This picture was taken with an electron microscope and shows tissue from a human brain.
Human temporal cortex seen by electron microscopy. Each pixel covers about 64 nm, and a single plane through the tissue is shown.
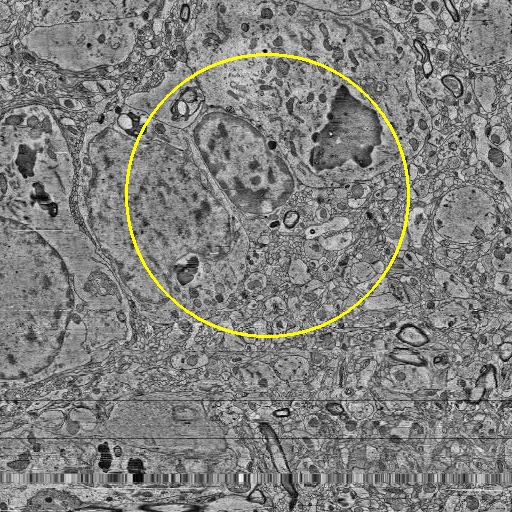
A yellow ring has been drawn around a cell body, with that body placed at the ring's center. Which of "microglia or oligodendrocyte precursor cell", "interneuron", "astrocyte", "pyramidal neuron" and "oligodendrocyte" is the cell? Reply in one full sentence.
In this picture, a microglial cell or oligodendrocyte precursor cell is the cell at the center of the yellow ring.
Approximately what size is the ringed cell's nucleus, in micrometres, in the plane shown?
Roughly 8 by 4 micrometres; in this plane, clearly longer than it is wide.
